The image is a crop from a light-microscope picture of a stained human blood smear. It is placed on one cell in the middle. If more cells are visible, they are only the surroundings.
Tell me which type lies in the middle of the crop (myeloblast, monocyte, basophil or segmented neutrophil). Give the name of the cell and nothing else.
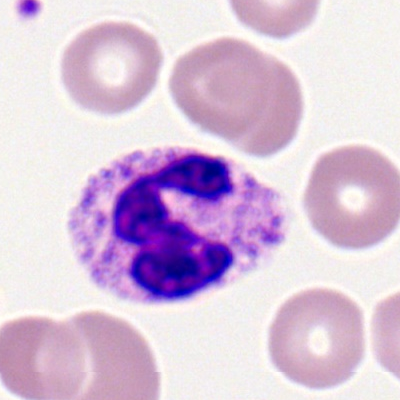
segmented neutrophil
